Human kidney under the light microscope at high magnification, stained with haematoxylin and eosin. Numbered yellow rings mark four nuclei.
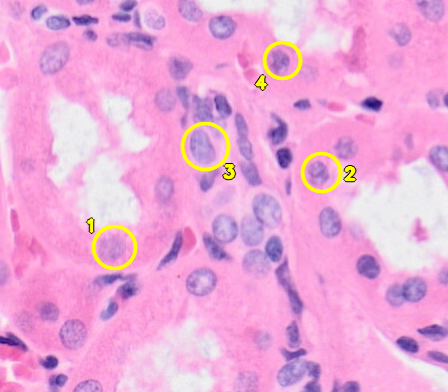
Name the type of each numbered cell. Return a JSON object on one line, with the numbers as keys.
{"1": "proximal tubule cell", "2": "loop of Henle or distal tubule cell", "3": "collecting duct cell", "4": "loop of Henle or distal tubule cell"}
